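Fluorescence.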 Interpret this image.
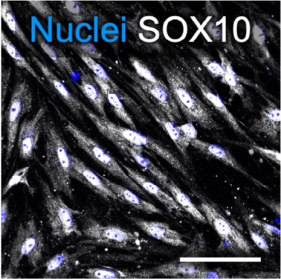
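Cultured Schwann cells with elongated spindle-shaped bodies aligned in parallel, their oval nuclei stained blue and lying centrally in each cell. The white stain is brightest over the nuclei and fainter through the cytoplasm and the long thin processes.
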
